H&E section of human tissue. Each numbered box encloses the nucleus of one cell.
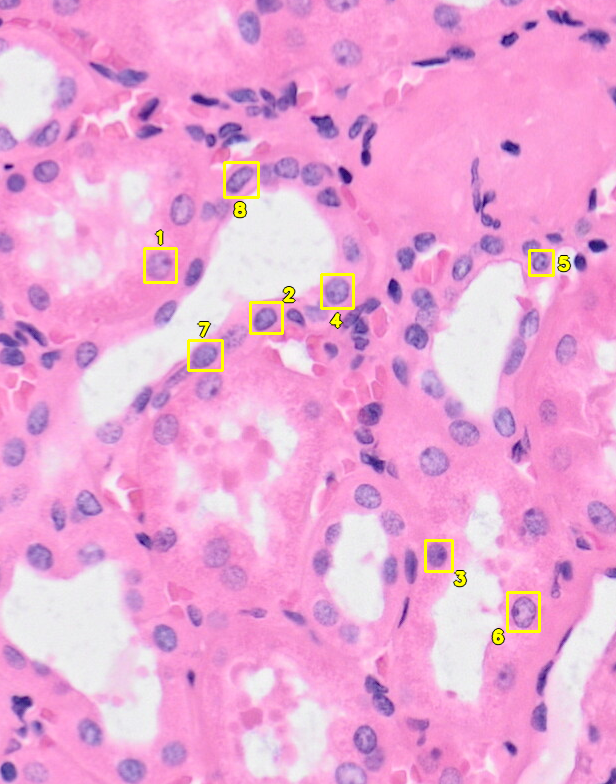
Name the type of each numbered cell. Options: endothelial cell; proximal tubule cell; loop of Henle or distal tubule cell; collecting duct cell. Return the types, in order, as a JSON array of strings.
["proximal tubule cell", "collecting duct cell", "proximal tubule cell", "collecting duct cell", "collecting duct cell", "proximal tubule cell", "collecting duct cell", "collecting duct cell"]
